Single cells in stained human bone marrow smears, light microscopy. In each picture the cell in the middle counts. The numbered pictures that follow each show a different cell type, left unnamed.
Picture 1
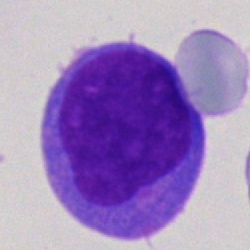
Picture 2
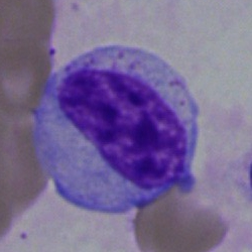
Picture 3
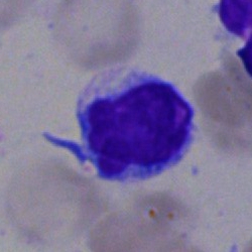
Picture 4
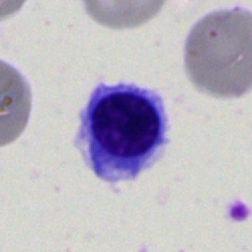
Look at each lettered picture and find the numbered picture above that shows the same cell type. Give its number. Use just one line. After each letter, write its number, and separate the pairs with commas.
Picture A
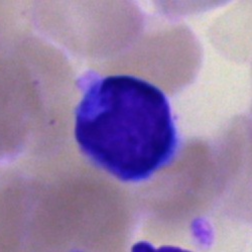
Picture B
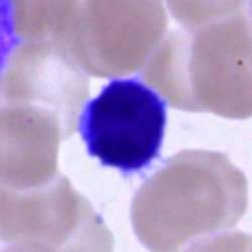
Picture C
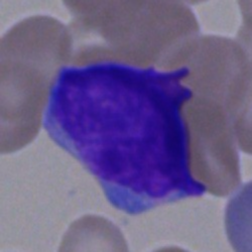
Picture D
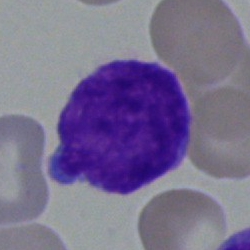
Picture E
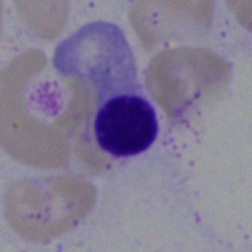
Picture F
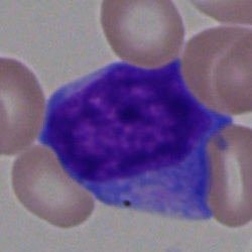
A 3, B 3, C 1, D 1, E 4, F 1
